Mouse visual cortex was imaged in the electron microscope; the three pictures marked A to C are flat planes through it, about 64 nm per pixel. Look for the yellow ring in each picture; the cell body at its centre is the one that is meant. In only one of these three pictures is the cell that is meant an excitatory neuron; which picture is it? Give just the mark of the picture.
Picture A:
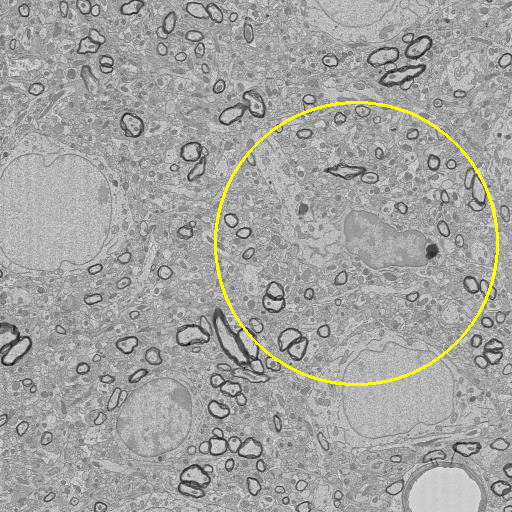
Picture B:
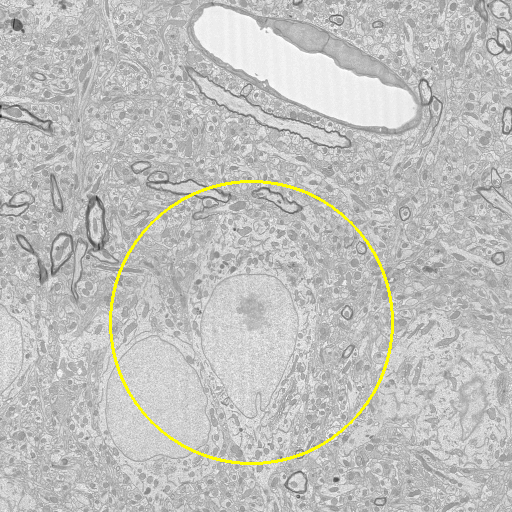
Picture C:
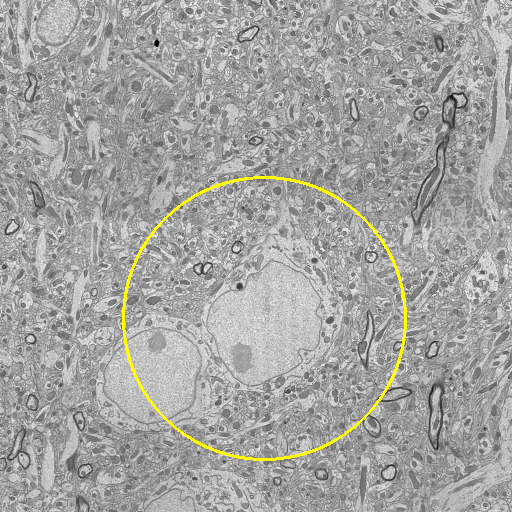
C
